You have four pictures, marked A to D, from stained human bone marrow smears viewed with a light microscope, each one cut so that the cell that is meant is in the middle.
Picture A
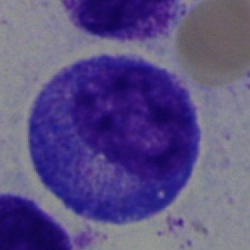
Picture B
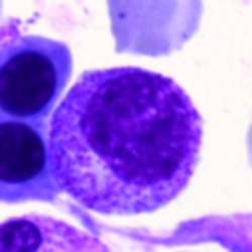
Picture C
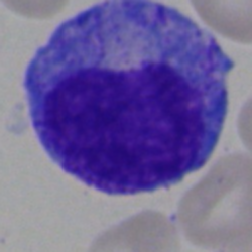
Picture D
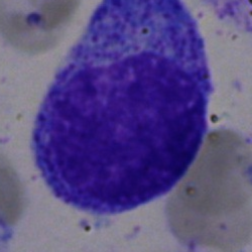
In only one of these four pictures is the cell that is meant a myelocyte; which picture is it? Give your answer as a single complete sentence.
It is picture B that shows the myelocyte.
